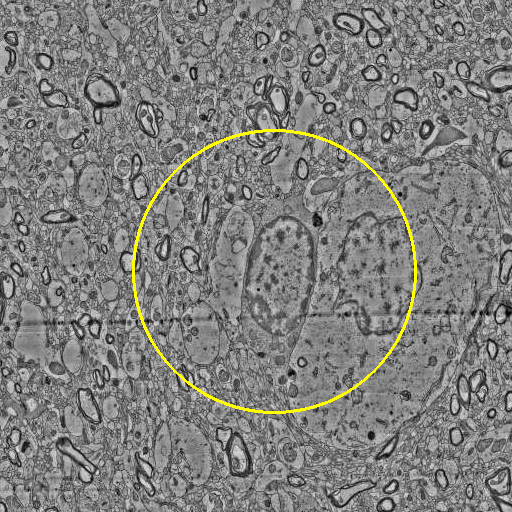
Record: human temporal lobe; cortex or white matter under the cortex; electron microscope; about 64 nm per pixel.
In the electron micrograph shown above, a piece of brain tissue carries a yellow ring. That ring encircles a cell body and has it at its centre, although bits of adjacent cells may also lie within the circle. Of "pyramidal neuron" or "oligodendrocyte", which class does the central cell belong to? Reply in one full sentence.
The cell body at the centre of the yellow ring belongs to an oligodendrocyte.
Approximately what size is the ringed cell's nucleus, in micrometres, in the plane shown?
The ringed cell's nucleus is roughly 8 by 4 micrometres and clearly longer than it is wide in this plane.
